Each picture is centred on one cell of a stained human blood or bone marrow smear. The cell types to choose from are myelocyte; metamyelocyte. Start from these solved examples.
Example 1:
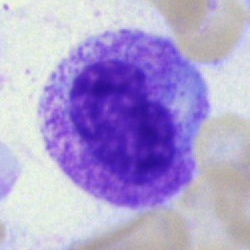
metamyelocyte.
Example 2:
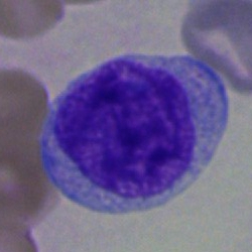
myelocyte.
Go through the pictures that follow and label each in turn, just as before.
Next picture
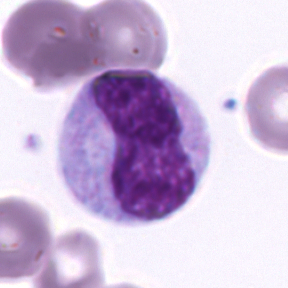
metamyelocyte.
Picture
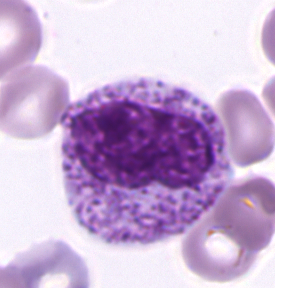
metamyelocyte.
